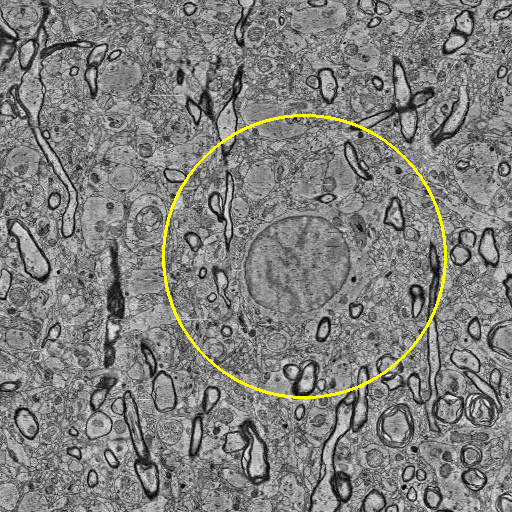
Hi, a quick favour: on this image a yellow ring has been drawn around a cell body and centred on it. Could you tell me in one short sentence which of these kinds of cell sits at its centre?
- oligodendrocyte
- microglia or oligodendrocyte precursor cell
The ring is centred on an oligodendrocyte.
